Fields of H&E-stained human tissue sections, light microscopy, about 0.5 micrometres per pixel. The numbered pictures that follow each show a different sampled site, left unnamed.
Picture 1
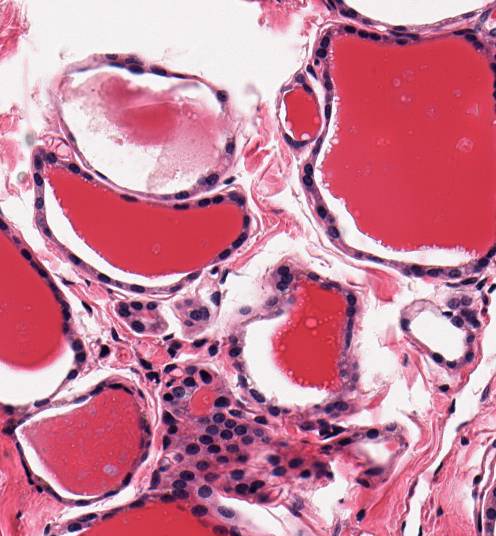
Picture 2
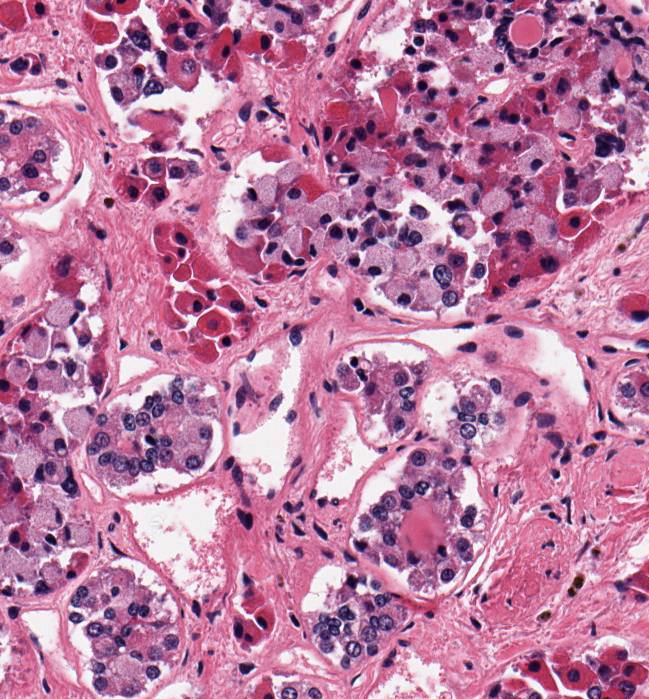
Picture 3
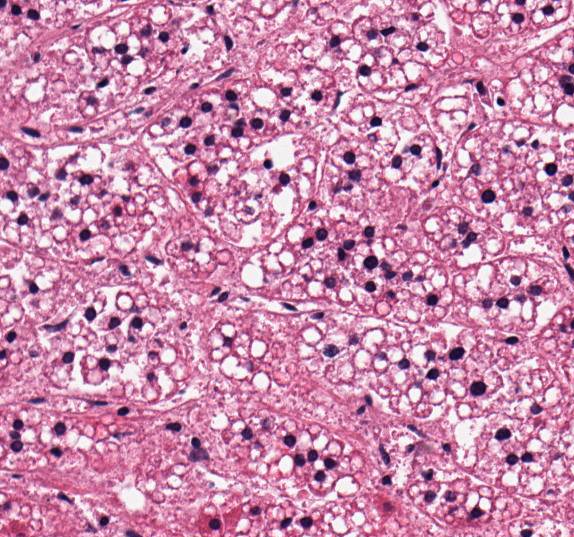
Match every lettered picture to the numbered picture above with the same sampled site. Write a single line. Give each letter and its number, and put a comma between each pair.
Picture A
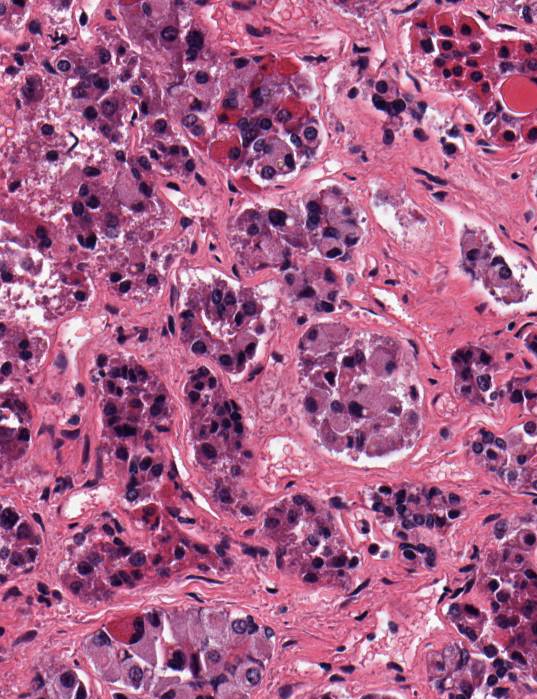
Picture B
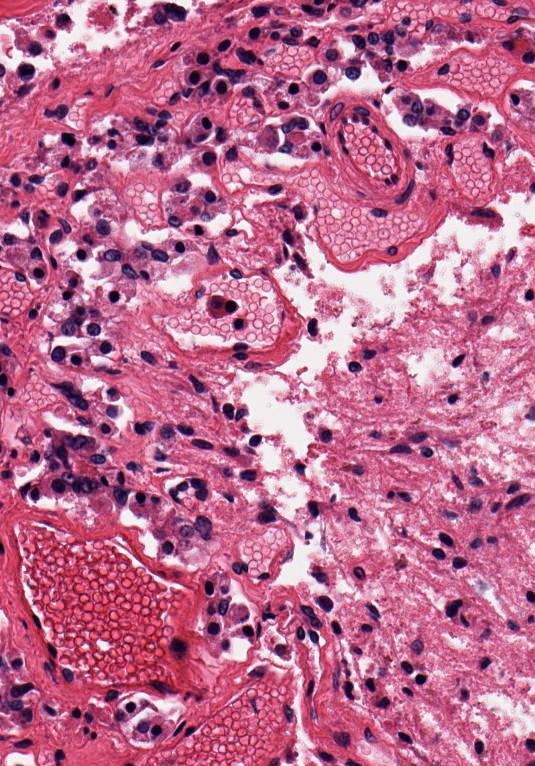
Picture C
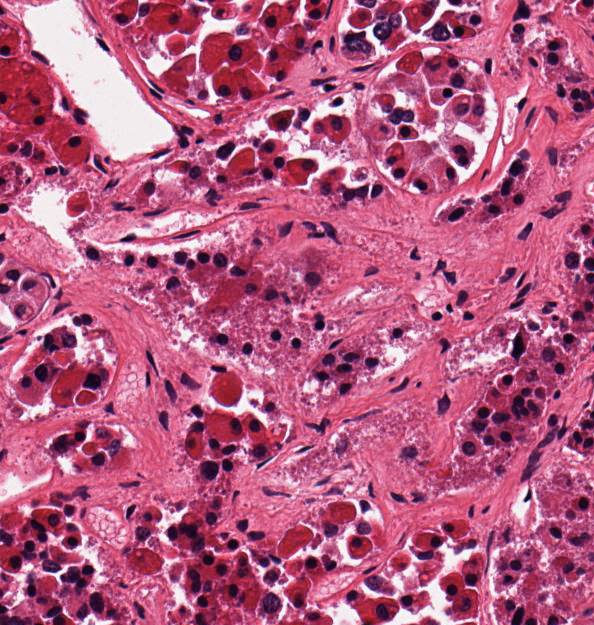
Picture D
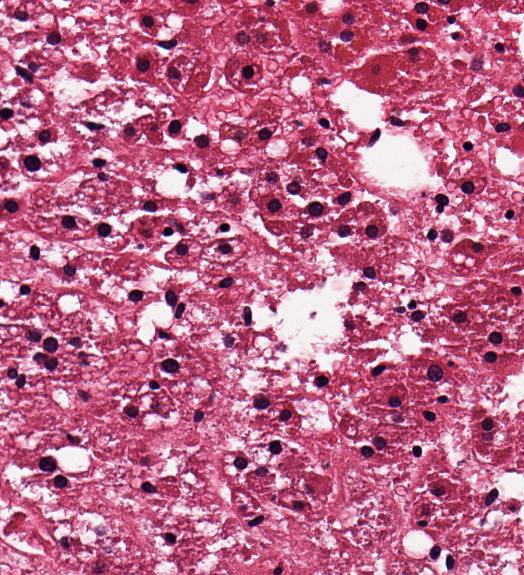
A 2, B 2, C 2, D 3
